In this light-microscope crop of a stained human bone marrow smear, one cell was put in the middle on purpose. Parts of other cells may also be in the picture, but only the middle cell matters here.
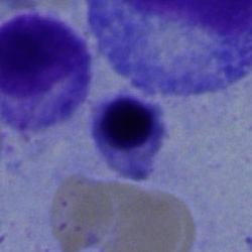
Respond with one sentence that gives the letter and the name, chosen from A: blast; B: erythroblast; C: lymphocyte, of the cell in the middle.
This one is option B, since the cell at the center is an erythroblast.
